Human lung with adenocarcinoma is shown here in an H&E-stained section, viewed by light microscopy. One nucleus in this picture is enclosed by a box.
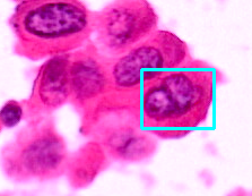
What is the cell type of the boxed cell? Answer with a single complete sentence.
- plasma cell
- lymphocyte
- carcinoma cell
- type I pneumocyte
Considered by cell type, the boxed cell is a carcinoma cell.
